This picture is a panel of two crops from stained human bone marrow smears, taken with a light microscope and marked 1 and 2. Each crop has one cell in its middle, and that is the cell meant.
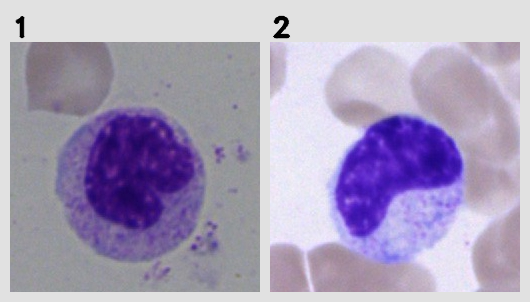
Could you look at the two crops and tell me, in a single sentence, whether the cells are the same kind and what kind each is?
Yes, metamyelocytes are seen in both crops.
